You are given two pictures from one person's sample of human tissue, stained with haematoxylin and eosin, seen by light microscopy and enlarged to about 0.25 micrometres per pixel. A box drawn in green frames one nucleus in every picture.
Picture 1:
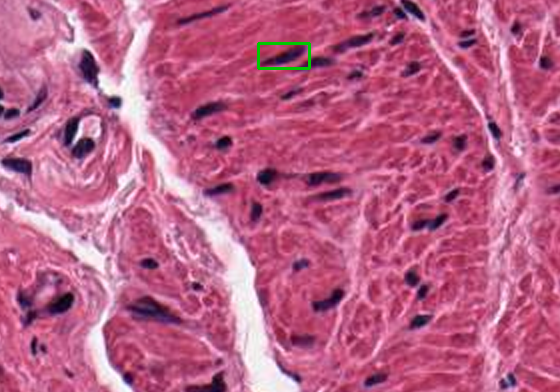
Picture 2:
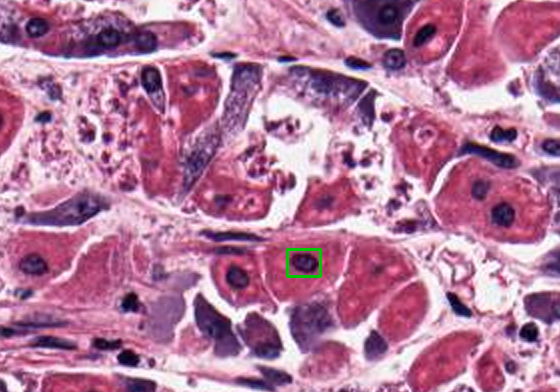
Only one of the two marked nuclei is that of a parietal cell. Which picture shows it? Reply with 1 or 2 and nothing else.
2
